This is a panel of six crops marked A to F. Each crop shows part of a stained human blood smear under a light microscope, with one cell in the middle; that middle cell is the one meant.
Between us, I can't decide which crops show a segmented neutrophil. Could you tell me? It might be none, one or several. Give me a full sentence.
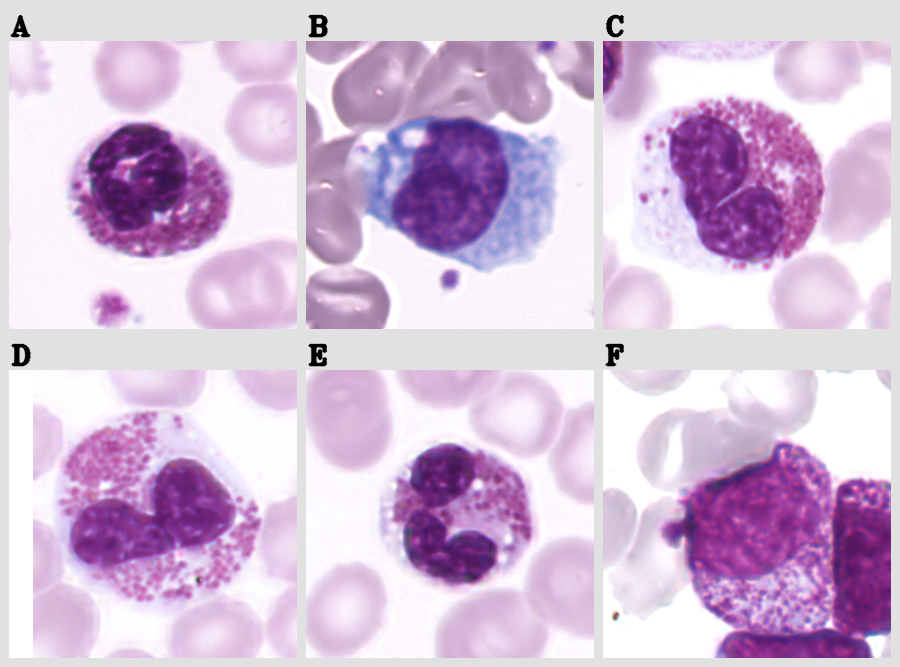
In none of these crops can a segmented neutrophil be found.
